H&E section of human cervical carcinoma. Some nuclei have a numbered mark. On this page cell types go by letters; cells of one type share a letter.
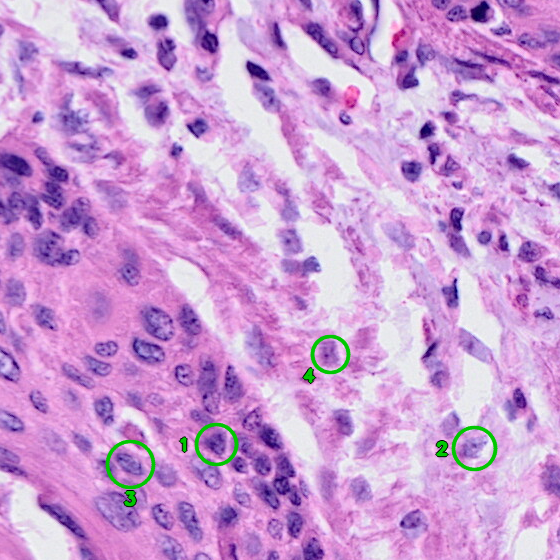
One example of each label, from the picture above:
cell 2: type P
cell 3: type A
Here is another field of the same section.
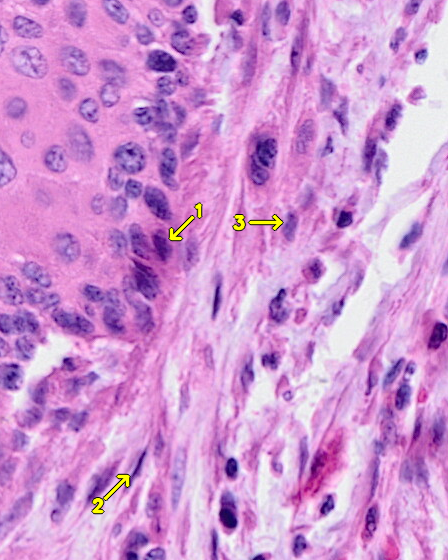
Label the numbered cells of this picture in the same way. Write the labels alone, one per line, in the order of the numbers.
type A
type P
type P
